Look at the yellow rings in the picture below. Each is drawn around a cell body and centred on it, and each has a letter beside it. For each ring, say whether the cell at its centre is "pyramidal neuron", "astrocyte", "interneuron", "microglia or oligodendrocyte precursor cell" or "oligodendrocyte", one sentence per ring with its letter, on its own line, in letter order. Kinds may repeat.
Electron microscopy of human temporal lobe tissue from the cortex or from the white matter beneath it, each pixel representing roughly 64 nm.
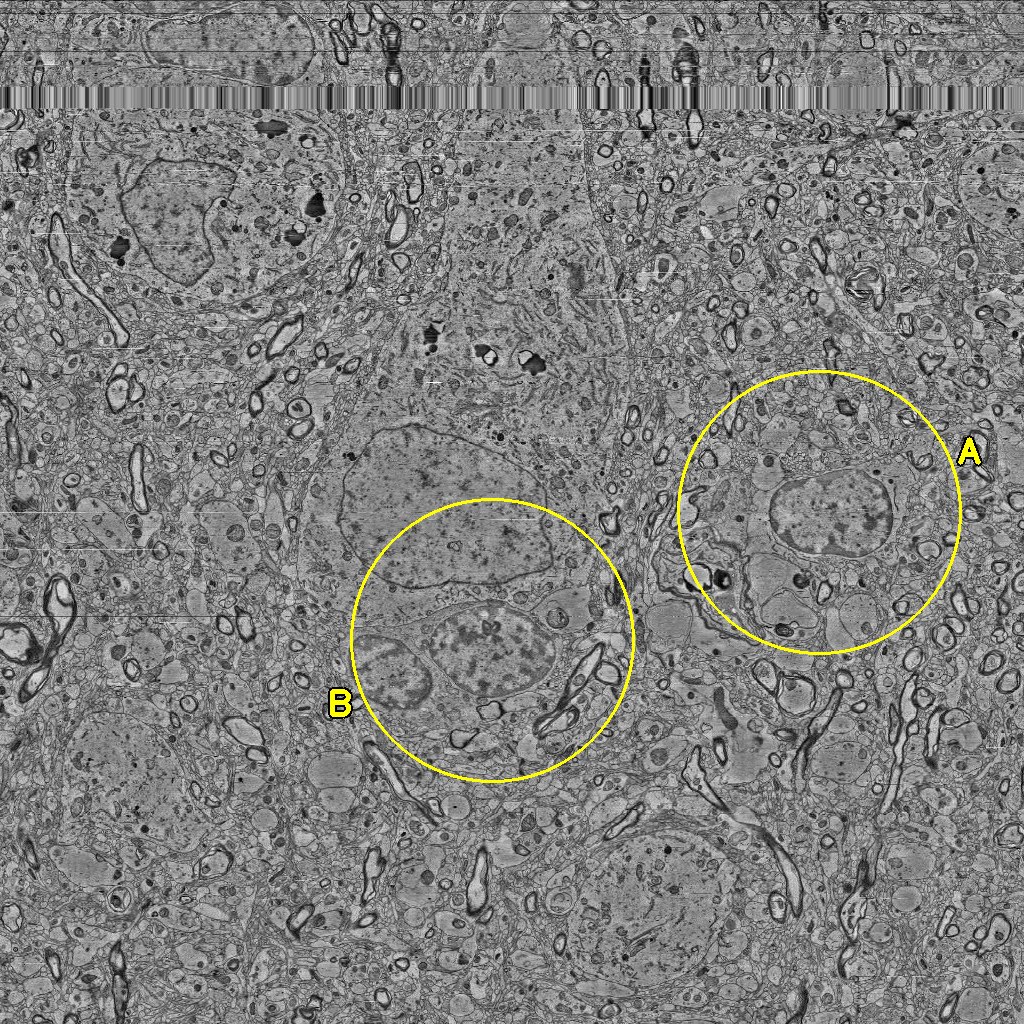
The centred cell of ring A is a microglial cell or oligodendrocyte precursor cell.
The centred cell of ring B is an oligodendrocyte.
